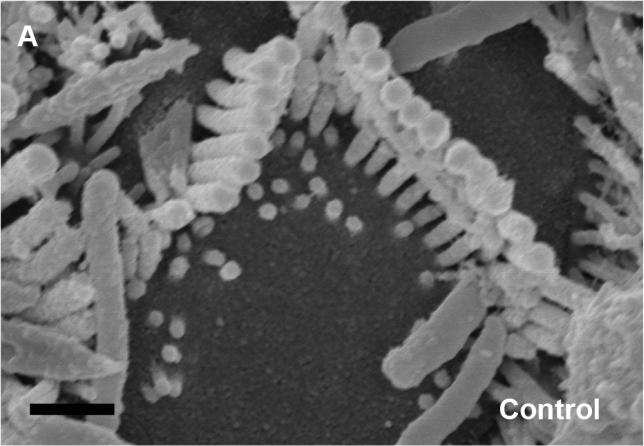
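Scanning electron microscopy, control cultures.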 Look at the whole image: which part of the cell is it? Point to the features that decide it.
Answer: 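Rows of upright, finger-like projections stand on the apical cell surface. The projections are graded in height and arranged in a curved, orderly row. So: Stereocilia bundles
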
